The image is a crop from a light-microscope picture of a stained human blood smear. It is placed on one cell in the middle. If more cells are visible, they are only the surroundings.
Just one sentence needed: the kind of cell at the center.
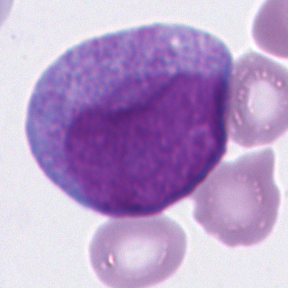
Among the cells in view, the one in the middle is a promyelocyte.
